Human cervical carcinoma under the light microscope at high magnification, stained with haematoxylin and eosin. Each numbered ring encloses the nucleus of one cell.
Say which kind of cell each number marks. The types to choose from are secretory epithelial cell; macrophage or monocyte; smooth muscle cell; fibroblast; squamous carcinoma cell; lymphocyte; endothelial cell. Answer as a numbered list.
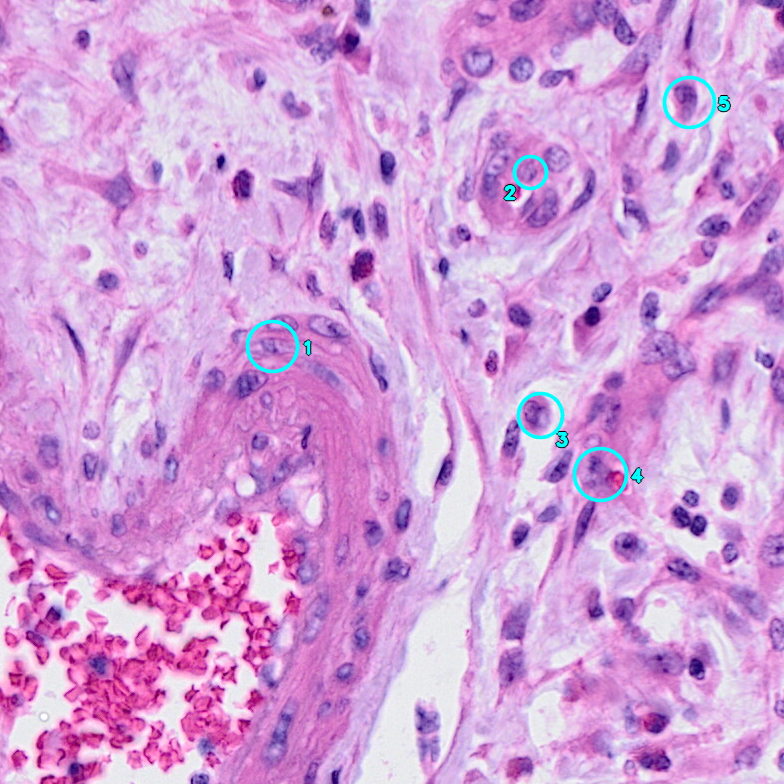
1. smooth muscle cell
2. endothelial cell
3. macrophage or monocyte
4. endothelial cell
5. macrophage or monocyte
